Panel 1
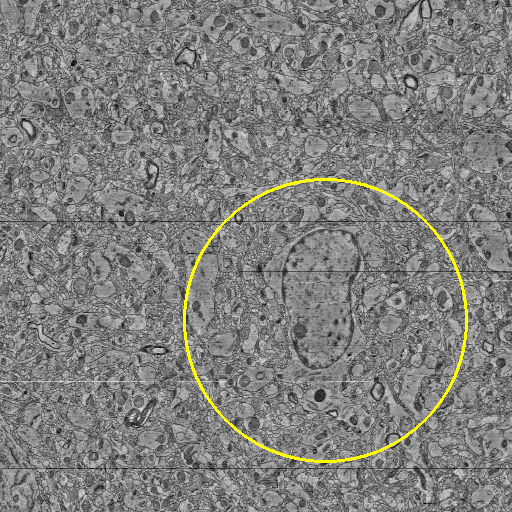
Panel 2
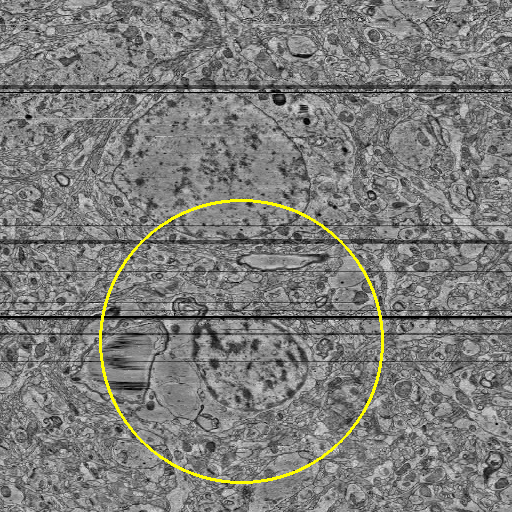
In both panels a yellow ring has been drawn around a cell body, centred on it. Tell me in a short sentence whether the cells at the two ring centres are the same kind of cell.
Yes, they are the same kind of cell.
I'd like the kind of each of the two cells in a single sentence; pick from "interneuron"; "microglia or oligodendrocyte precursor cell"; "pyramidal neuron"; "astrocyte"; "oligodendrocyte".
Each of the two cells is a microglial cell or oligodendrocyte precursor cell.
